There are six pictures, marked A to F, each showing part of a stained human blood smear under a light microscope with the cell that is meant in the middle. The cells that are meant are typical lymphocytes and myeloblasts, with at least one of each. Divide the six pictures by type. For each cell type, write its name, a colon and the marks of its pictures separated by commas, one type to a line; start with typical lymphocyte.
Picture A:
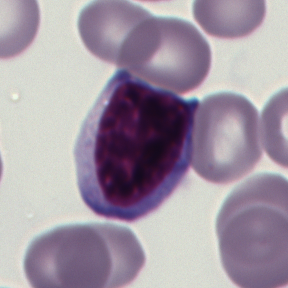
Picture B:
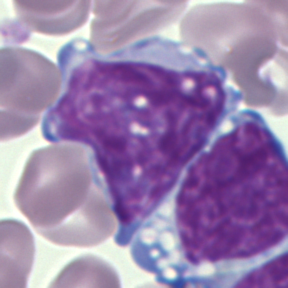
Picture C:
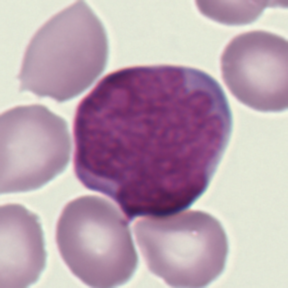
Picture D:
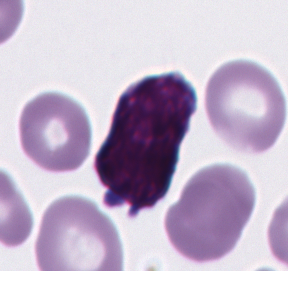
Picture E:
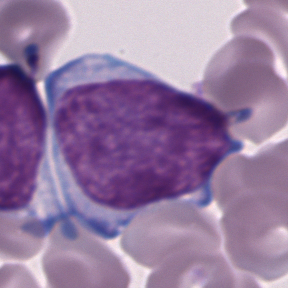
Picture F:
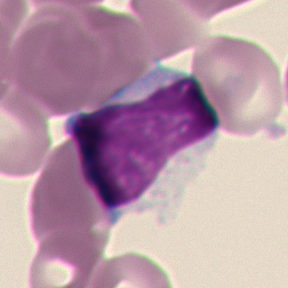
typical lymphocyte: A, F
myeloblast: B, C, D, E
